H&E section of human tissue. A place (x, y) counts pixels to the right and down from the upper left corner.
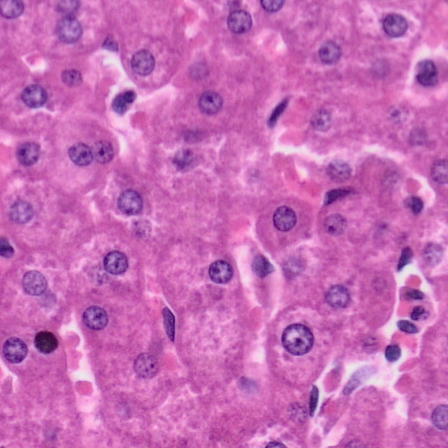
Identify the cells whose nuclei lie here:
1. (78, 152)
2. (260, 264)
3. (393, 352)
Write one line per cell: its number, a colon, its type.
1: hepatocyte
2: Kupffer cell
3: lymphocyte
